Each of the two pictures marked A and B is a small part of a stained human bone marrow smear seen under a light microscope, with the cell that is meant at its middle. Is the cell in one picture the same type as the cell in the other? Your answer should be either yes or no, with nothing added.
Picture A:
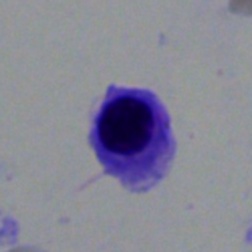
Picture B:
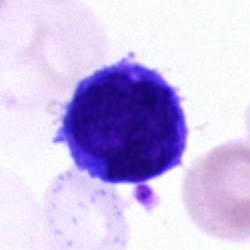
no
